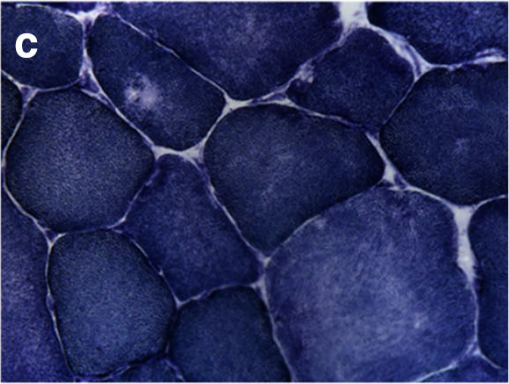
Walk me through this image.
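Skeletal muscle in cross-section, with muscle fibers of differing size whose cytoplasm stains dark blue with a fine granular texture. Some fibers are darker and more finely stippled than others, giving a mixed pattern across the field. The fibers are rounded to polygonal and closely packed, separated by narrow white spaces. In one fiber near the top, a small pale patch interrupts the blue stain, where the granular staining is weaker than in the rest of the fiber and in its neighbours.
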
